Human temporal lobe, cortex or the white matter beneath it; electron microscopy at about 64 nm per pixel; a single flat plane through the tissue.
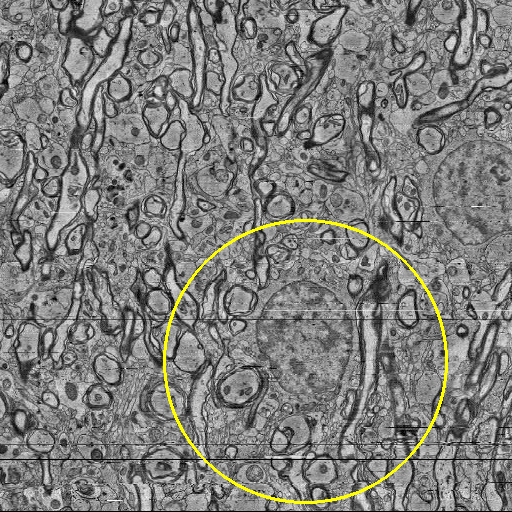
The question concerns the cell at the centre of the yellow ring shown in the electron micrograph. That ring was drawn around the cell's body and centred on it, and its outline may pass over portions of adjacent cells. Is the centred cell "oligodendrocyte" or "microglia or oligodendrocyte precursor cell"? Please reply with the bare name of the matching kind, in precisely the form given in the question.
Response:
oligodendrocyte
